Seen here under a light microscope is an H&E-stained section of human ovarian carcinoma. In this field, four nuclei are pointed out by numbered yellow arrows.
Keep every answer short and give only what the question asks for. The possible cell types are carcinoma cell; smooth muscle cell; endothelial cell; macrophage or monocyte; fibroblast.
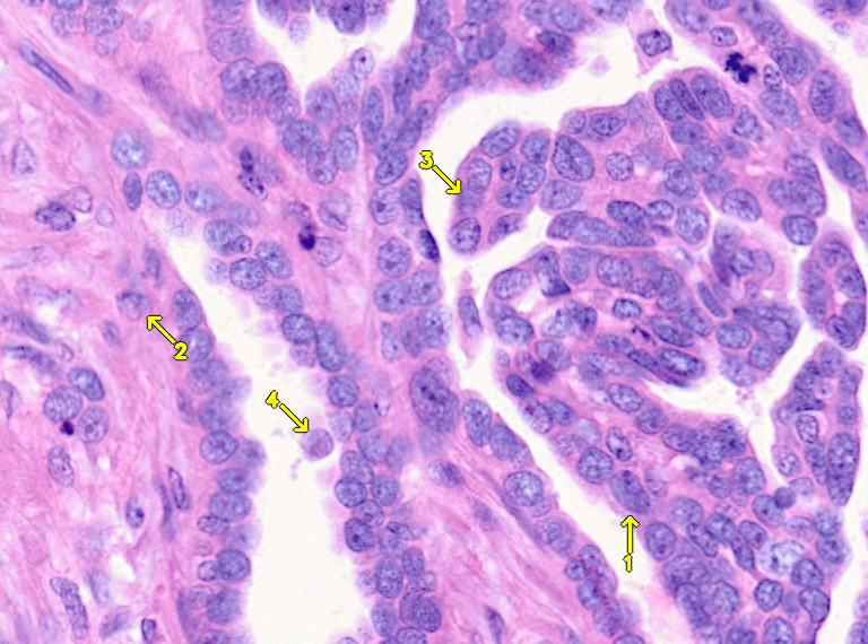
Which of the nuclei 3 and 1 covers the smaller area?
3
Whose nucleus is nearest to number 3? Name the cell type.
carcinoma cell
